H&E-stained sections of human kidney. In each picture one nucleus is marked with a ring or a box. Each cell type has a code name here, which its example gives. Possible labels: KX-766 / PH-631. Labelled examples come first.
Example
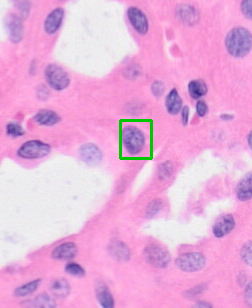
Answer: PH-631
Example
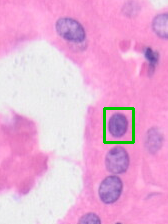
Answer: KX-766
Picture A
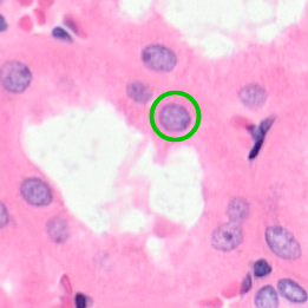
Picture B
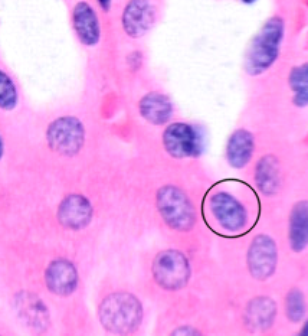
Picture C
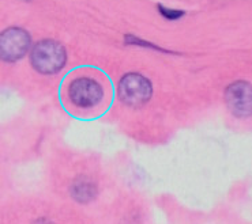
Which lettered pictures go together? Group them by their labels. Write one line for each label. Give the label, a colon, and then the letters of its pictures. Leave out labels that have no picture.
KX-766: A, C
PH-631: B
